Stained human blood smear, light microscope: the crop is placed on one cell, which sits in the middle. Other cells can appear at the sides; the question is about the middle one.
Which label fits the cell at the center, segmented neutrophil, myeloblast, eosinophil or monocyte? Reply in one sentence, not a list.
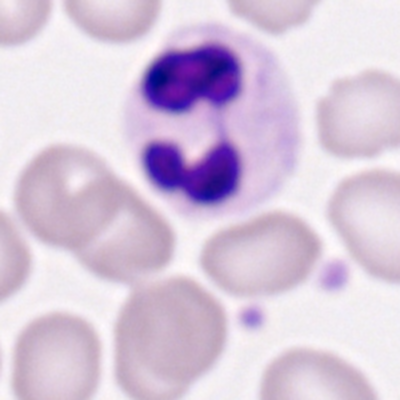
The cell in the middle of the field of view is a segmented neutrophil.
